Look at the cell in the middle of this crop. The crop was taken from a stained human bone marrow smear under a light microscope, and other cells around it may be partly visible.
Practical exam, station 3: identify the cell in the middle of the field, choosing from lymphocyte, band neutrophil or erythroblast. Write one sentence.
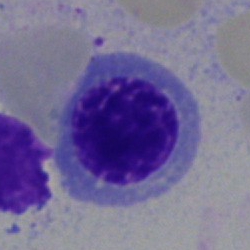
In the center of this field lies an erythroblast.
